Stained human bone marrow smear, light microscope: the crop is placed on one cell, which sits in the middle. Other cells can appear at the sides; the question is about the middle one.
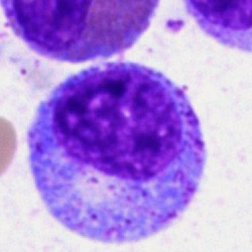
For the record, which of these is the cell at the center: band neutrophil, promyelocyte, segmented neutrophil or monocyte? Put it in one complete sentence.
Centred in the crop is a promyelocyte.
